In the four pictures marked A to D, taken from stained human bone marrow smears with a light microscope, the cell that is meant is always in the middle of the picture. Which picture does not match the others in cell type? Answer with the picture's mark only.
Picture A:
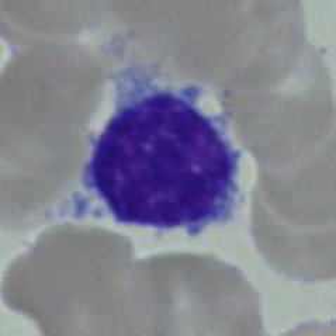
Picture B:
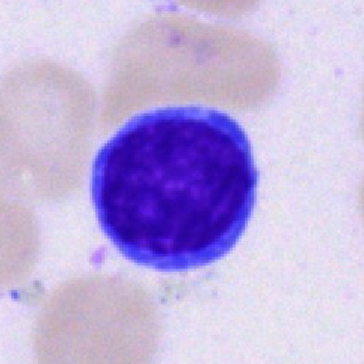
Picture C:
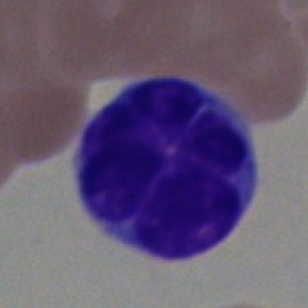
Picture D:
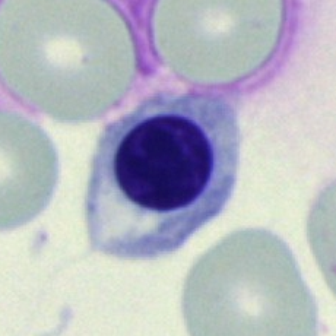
D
